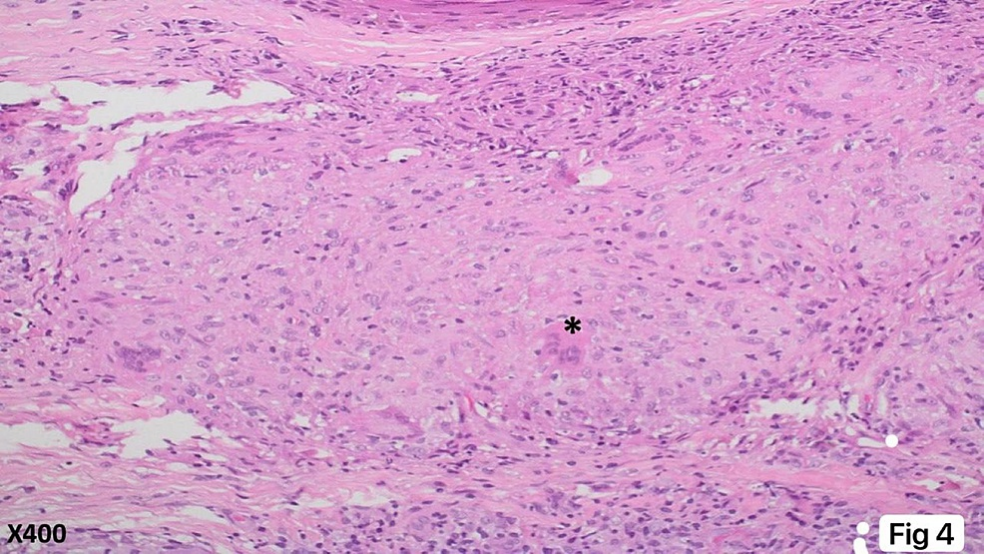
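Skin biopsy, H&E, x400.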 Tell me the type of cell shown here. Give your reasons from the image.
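Epithelioid histiocytes. The central aggregate is made of cells with oval to elongated pale nuclei. These cells have ample pale pink cytoplasm with indistinct borders. The cells lie closely packed in sheets.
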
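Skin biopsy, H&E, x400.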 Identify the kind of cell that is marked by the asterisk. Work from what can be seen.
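Next to the asterisk lies a large cell with abundant pink cytoplasm. Several nuclei are clustered within that single cell body.
Multi-nucleated giant cells.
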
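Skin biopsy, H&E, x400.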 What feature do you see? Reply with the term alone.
granuloma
